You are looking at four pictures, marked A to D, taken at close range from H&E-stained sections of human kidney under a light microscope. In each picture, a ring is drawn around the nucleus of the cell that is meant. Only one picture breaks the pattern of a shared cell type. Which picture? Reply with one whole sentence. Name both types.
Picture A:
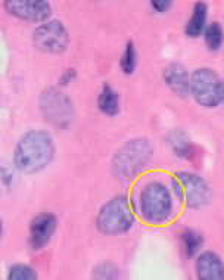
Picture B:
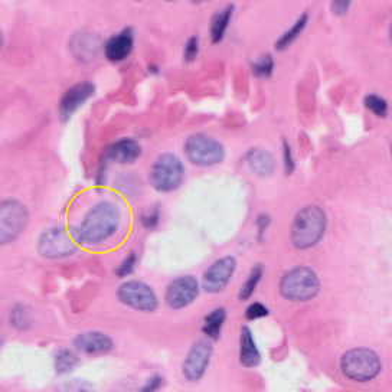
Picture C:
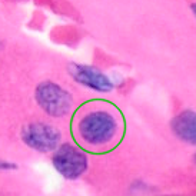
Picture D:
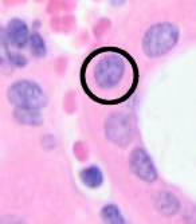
Picture C is the odd one out: it shows a “loop of Henle or distal tubule cell”, while the others show collecting duct cells.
